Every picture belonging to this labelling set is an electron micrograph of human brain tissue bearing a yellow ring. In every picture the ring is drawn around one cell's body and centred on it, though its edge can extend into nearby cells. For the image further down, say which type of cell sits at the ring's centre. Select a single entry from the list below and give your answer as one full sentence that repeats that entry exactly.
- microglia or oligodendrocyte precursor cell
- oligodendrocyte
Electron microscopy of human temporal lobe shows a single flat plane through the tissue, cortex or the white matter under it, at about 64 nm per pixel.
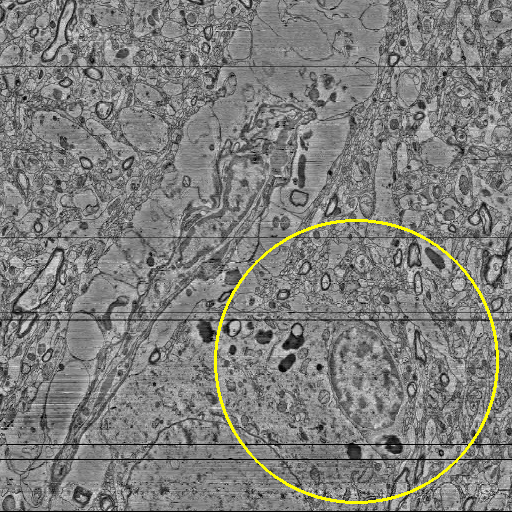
In the picture, an oligodendrocyte is the cell at the centre of the yellow ring.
